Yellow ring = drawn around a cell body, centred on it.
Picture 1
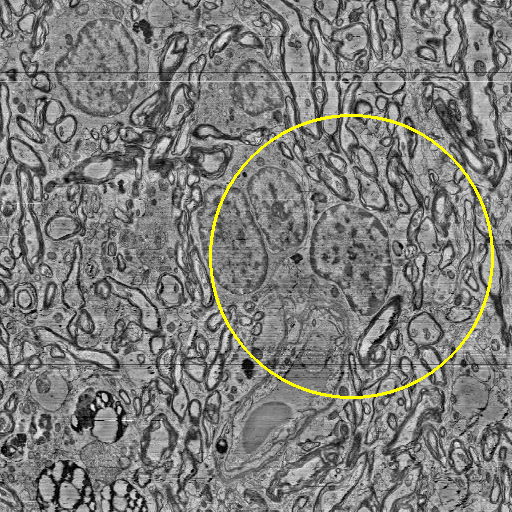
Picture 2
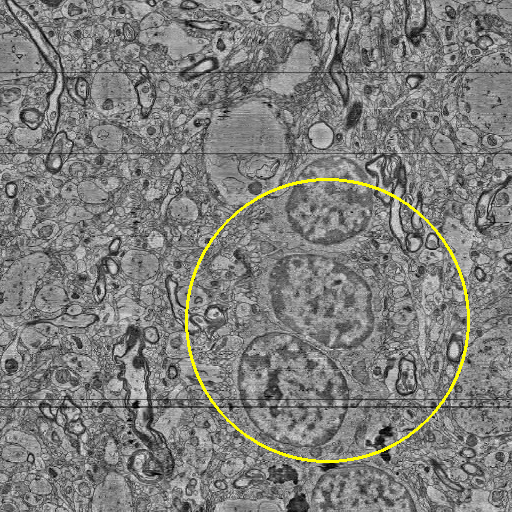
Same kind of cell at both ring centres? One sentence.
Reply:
No, they are two kinds of cell.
